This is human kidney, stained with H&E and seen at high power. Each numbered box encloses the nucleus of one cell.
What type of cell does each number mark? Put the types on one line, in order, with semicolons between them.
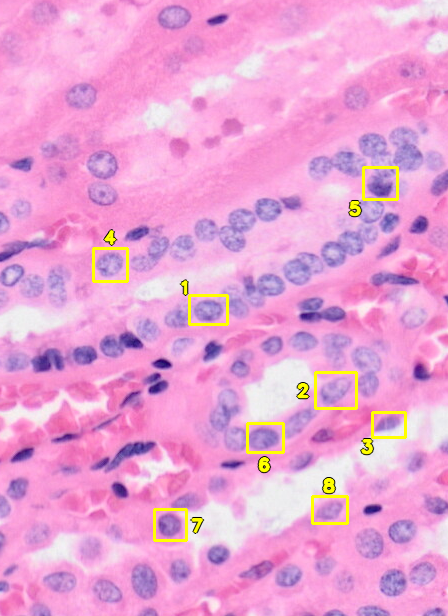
collecting duct cell; collecting duct cell; loop of Henle or distal tubule cell; collecting duct cell; collecting duct cell; collecting duct cell; loop of Henle or distal tubule cell; loop of Henle or distal tubule cell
